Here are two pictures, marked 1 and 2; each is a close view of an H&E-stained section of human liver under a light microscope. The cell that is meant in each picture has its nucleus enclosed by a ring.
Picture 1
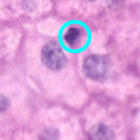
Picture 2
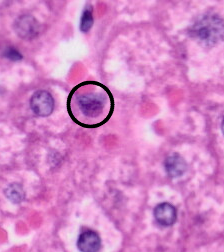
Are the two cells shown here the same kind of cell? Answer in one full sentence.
No, the types are not the same, since picture 1 shows a “fibroblast or stellate cell” and picture 2 an endothelial cell.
